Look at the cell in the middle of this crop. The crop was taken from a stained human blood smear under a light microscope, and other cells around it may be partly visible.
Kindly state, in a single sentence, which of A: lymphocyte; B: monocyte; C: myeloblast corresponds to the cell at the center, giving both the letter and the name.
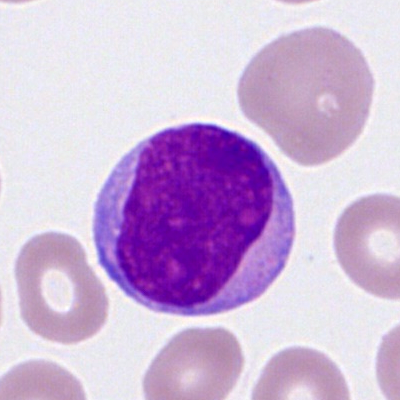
Here the right option is C, as the cell in the middle is a myeloblast.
